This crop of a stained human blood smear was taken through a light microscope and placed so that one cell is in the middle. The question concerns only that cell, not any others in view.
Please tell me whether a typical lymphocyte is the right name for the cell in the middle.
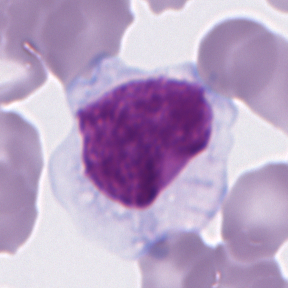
no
